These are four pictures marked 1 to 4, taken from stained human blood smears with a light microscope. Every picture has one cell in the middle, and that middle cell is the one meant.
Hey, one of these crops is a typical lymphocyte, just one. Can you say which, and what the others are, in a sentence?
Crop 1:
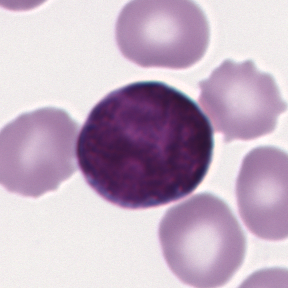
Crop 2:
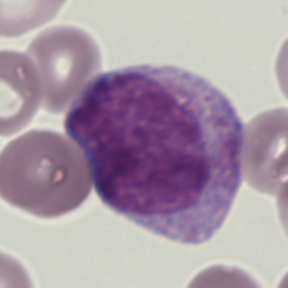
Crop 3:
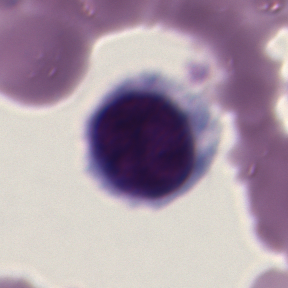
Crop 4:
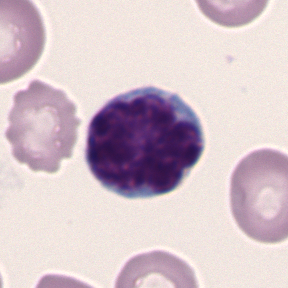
The central cell in crop 4 is a typical lymphocyte, whereas crop 1 is a myeloblast, crop 2 is an atypical promyelocyte and crop 3 is a hairy cell.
